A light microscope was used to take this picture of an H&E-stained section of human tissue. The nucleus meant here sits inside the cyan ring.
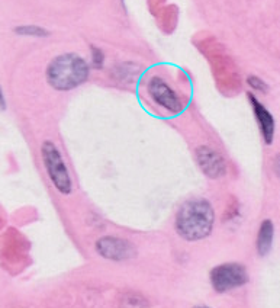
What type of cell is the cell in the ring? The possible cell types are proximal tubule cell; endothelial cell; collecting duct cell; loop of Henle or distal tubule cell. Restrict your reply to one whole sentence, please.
With respect to cell type, the cell in the ring is a collecting duct cell.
